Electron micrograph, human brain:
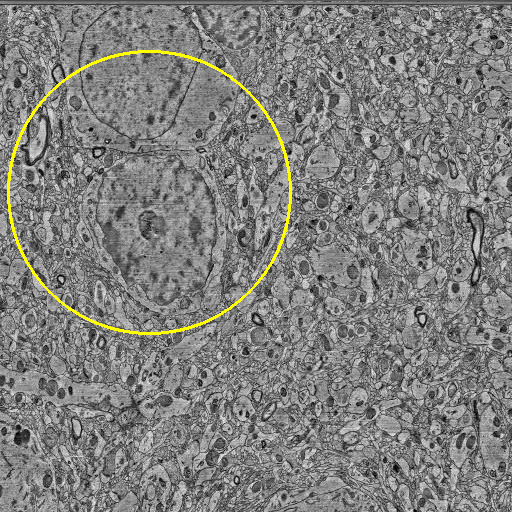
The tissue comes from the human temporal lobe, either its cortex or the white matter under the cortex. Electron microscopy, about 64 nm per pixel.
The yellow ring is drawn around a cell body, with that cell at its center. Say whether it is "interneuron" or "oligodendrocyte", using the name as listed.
interneuron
